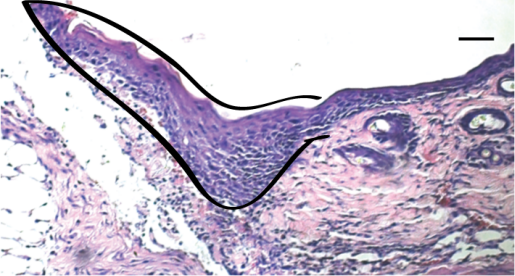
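Toward the right, the epidermis is thinner, and hair follicles and glands sit in the dermis beneath it as rounded clusters of purple cells. The dermis is pink, with wavy collagen and scattered spindle-shaped and rounded nuclei. Beneath the advancing wedge, the dermis is looser and paler, with many scattered cells.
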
